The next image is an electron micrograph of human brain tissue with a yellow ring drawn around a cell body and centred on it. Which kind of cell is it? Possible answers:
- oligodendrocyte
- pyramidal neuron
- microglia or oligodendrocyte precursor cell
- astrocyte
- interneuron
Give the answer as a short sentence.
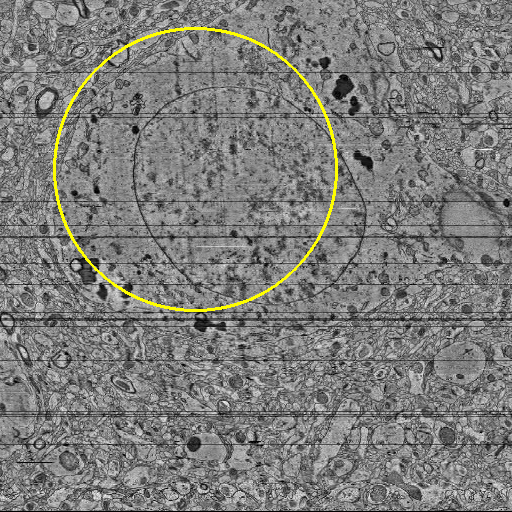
In the ring's centre is a pyramidal neuron.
